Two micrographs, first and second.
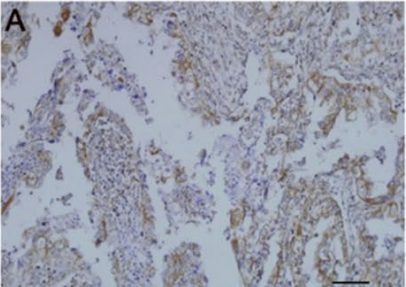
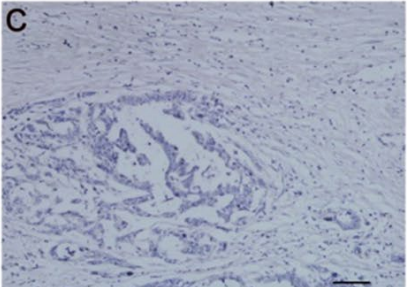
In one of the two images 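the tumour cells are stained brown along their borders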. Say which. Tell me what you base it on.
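The first image. Second image: tumour glands and stroma show only blue counterstain, no brown. First image: many tumour cells show brown staining outlining their membranes and cytoplasm.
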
